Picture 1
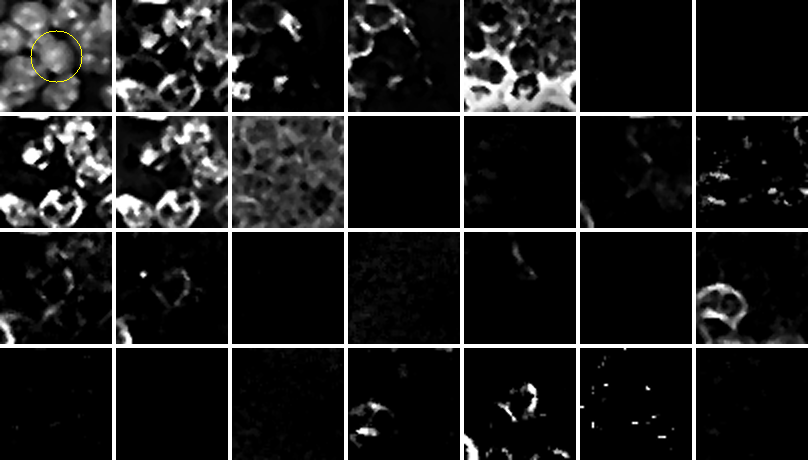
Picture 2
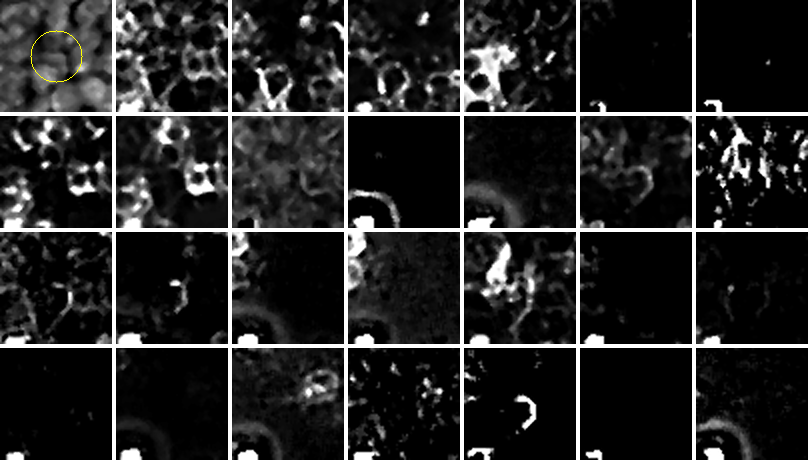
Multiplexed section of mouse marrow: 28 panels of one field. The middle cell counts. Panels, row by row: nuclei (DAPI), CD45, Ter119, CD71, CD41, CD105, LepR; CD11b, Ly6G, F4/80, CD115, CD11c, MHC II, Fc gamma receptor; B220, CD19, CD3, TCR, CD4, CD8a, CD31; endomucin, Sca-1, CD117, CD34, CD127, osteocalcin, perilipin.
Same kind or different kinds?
Same: common lymphoid progenitors.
